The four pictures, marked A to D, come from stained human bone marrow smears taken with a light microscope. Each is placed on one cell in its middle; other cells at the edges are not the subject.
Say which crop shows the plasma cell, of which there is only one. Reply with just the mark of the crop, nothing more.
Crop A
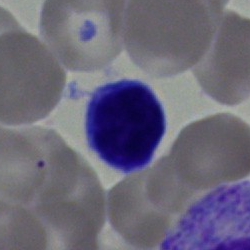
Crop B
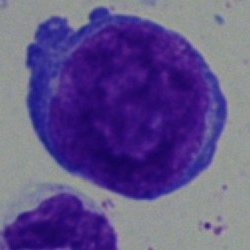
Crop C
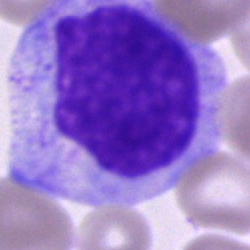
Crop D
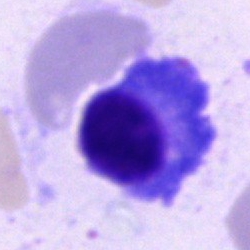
D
